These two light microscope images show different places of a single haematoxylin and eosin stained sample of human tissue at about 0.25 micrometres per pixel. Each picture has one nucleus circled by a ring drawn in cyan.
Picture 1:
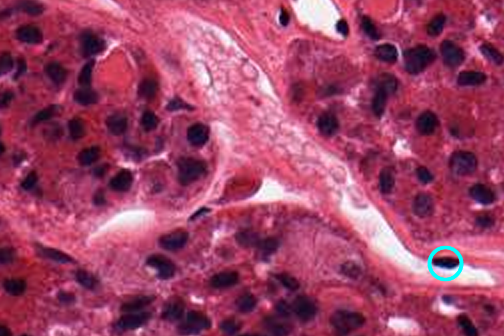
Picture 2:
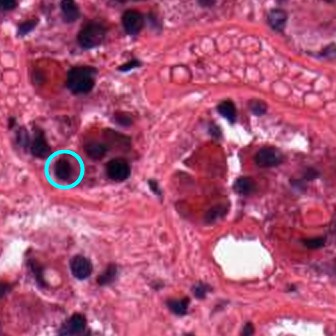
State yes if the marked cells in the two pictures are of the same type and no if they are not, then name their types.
No, the first is an endothelial cell and the second an anterior pituitary cell.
